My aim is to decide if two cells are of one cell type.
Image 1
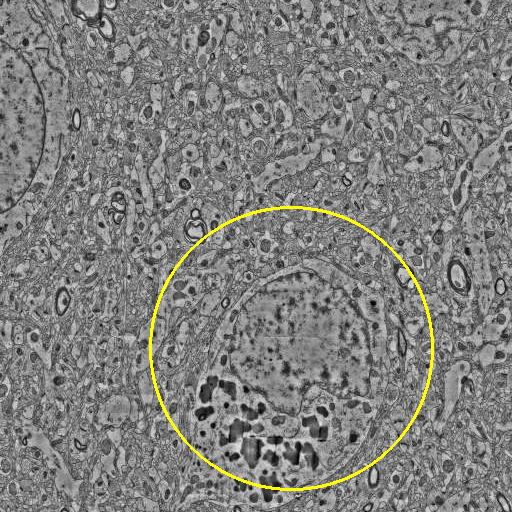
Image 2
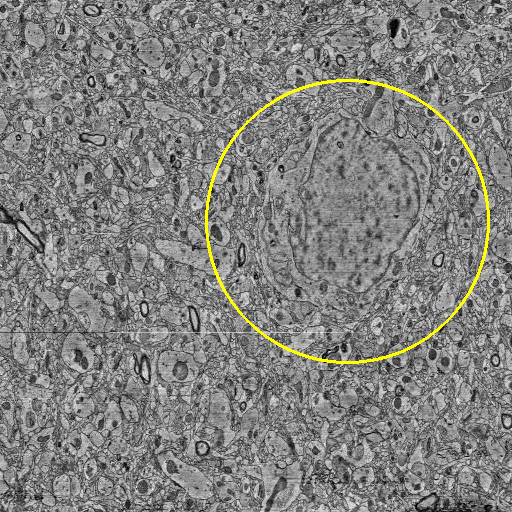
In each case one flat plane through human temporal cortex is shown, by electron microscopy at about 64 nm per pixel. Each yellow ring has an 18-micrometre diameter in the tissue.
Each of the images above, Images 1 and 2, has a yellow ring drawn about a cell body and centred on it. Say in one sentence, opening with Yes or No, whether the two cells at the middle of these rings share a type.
Yes, in Images 1 and 2 the cells at the middle of the rings share one type.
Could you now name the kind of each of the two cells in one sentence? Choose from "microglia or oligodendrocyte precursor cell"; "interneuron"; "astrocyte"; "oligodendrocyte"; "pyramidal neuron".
Each of the two pictures has an interneuron at the ring centre.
